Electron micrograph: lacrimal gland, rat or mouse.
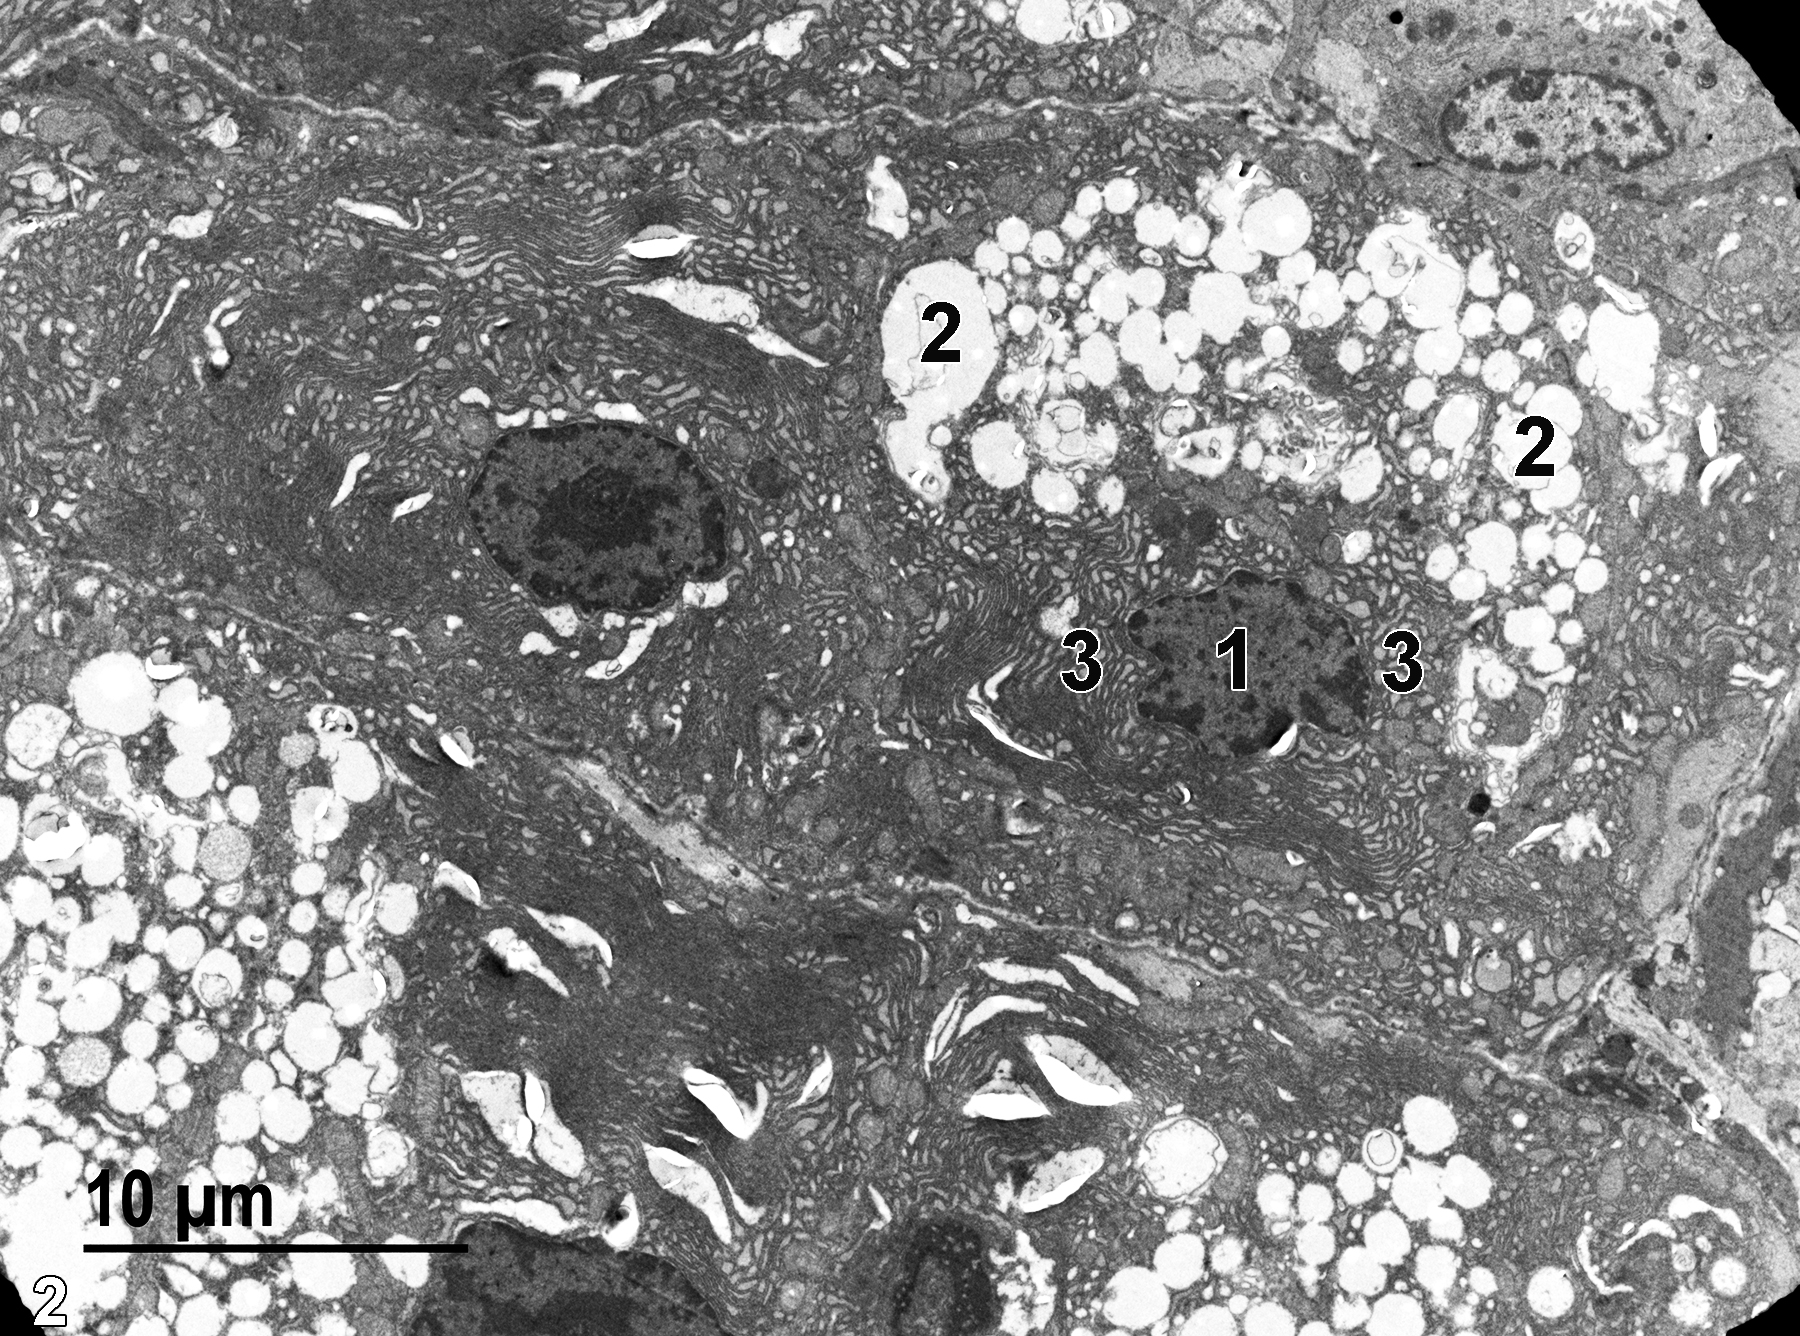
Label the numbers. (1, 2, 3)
1: nucleus of an acinar cell
2: mucous granules
3: rough endoplasmic reticulum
